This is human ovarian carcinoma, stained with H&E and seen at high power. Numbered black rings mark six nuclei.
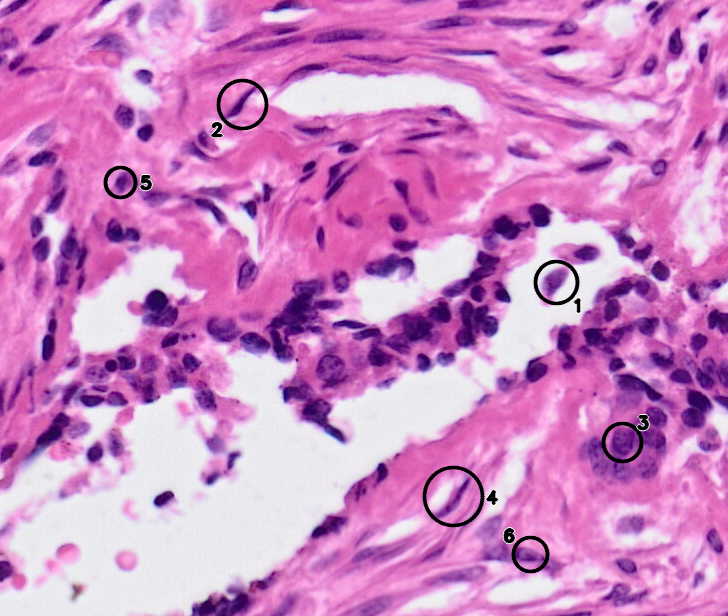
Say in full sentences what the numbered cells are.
Cell 1 is a carcinoma cell, cell 2 is a fibroblast, cell 3 is a carcinoma cell, cell 4 is a fibroblast, cell 5 is a fibroblast and cell 6 is a fibroblast.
